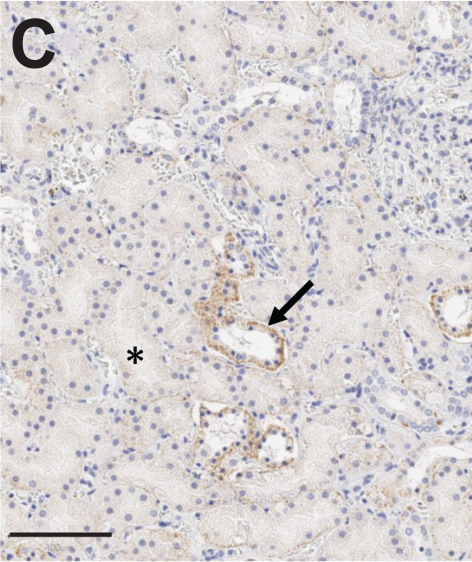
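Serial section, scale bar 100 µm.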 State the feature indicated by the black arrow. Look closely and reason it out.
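The arrow points to a tubule with an open lumen lined by brown-stained cells. Neighbouring tubules are only faintly stained. On this evidence: renal tubules.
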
